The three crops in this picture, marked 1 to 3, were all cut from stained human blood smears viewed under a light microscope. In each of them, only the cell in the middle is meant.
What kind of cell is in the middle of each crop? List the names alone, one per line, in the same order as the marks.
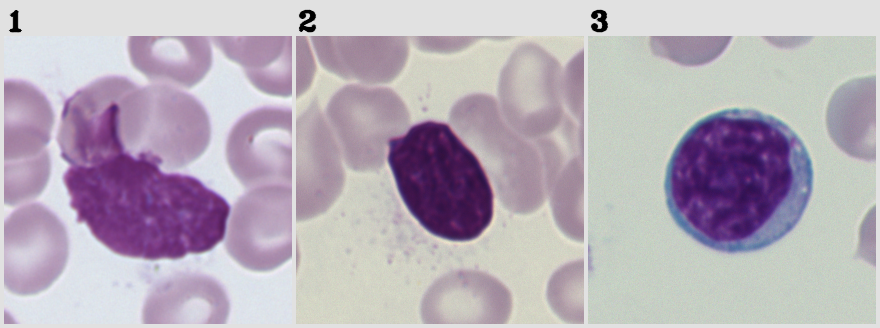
smudge cell
smudge cell
myeloblast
